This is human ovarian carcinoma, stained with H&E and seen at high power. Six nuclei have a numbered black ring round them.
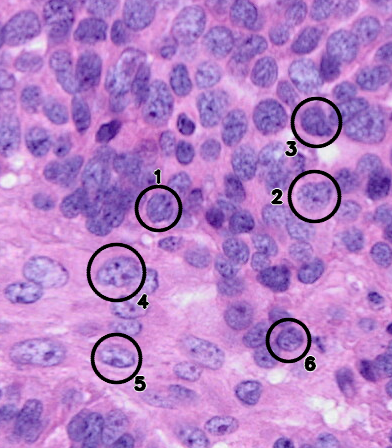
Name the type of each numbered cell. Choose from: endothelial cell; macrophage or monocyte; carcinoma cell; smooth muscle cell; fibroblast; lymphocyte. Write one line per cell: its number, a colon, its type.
1: carcinoma cell
2: carcinoma cell
3: carcinoma cell
4: fibroblast
5: fibroblast
6: carcinoma cell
